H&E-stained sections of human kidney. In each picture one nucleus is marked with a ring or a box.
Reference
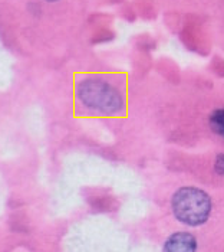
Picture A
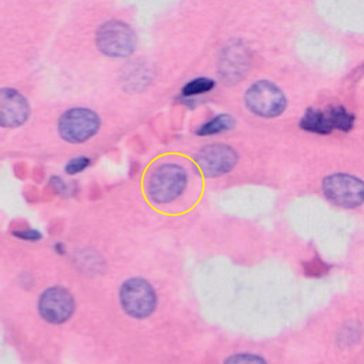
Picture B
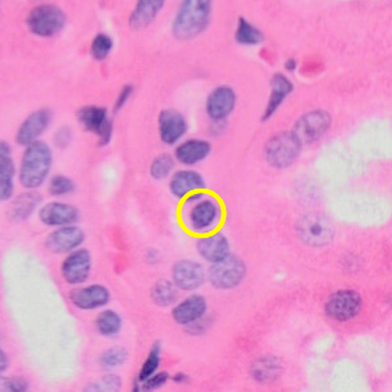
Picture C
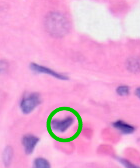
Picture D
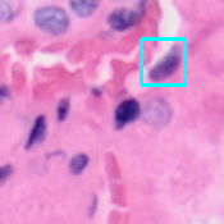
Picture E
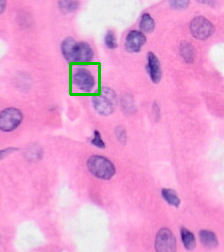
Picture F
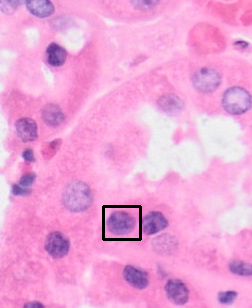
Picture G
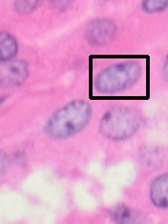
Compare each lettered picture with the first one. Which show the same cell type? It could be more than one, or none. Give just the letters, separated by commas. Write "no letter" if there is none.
A, F, G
